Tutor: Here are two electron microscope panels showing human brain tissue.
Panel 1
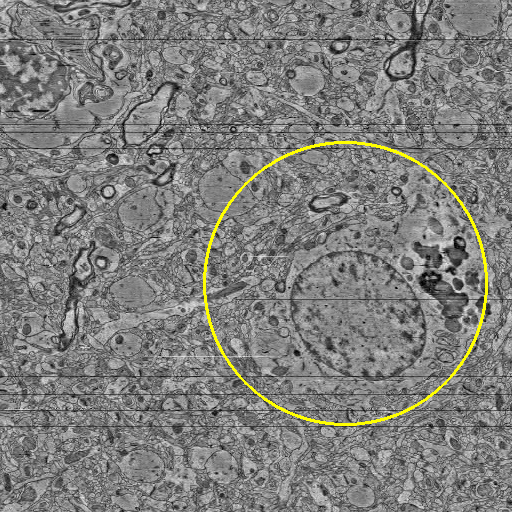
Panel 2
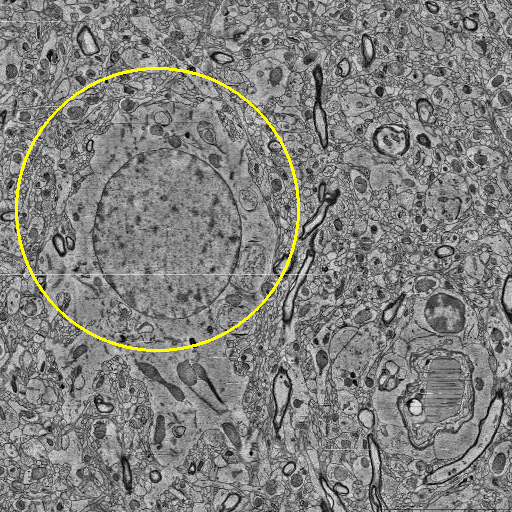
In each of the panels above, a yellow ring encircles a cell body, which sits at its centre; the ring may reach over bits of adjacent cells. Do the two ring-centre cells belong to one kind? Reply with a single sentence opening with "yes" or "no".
Yes, the two cells sitting at the ring centres in the panels belong to one kind.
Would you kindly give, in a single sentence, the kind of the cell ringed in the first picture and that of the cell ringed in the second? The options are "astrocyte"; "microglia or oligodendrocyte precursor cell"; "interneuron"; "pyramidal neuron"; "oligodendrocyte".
In both pictures the ring is centred on an astrocyte.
